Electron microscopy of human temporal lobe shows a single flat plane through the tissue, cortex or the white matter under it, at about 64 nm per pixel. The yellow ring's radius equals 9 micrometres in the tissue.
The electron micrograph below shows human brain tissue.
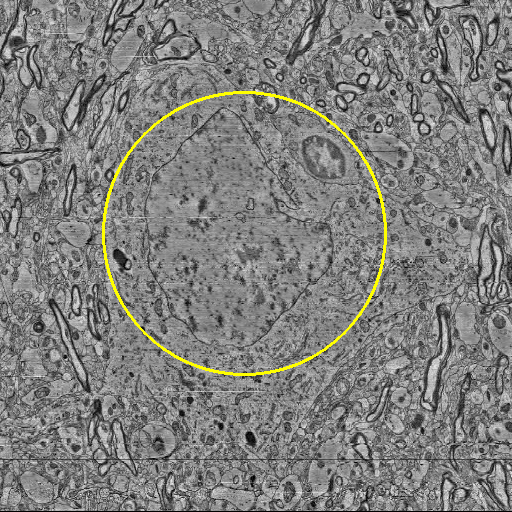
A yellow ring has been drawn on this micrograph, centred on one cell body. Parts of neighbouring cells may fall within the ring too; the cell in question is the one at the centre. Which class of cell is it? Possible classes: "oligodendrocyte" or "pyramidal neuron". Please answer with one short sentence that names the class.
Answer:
In the centre of the ring sits a pyramidal neuron.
